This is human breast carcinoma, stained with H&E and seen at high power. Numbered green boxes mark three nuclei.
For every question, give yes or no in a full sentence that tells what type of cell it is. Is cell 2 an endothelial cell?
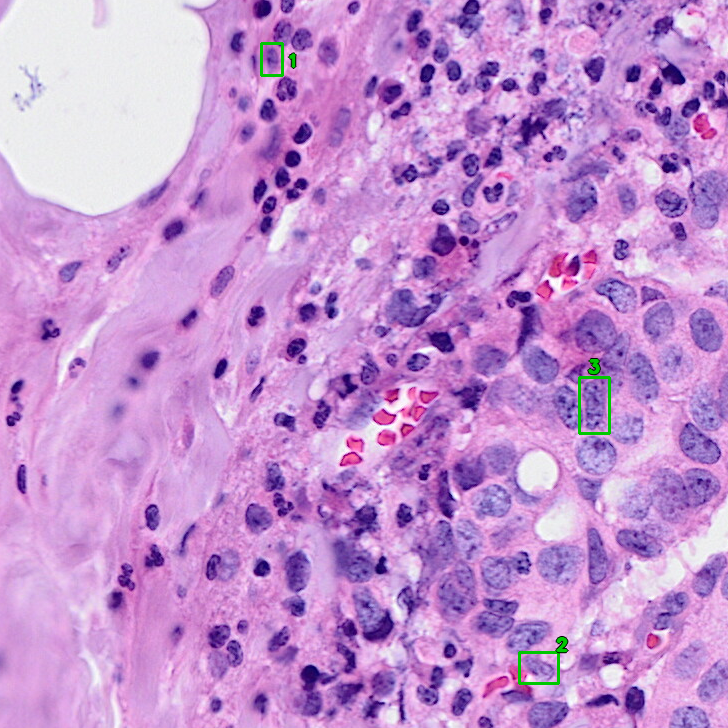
Yes, the cell at marker 2 is an endothelial cell.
